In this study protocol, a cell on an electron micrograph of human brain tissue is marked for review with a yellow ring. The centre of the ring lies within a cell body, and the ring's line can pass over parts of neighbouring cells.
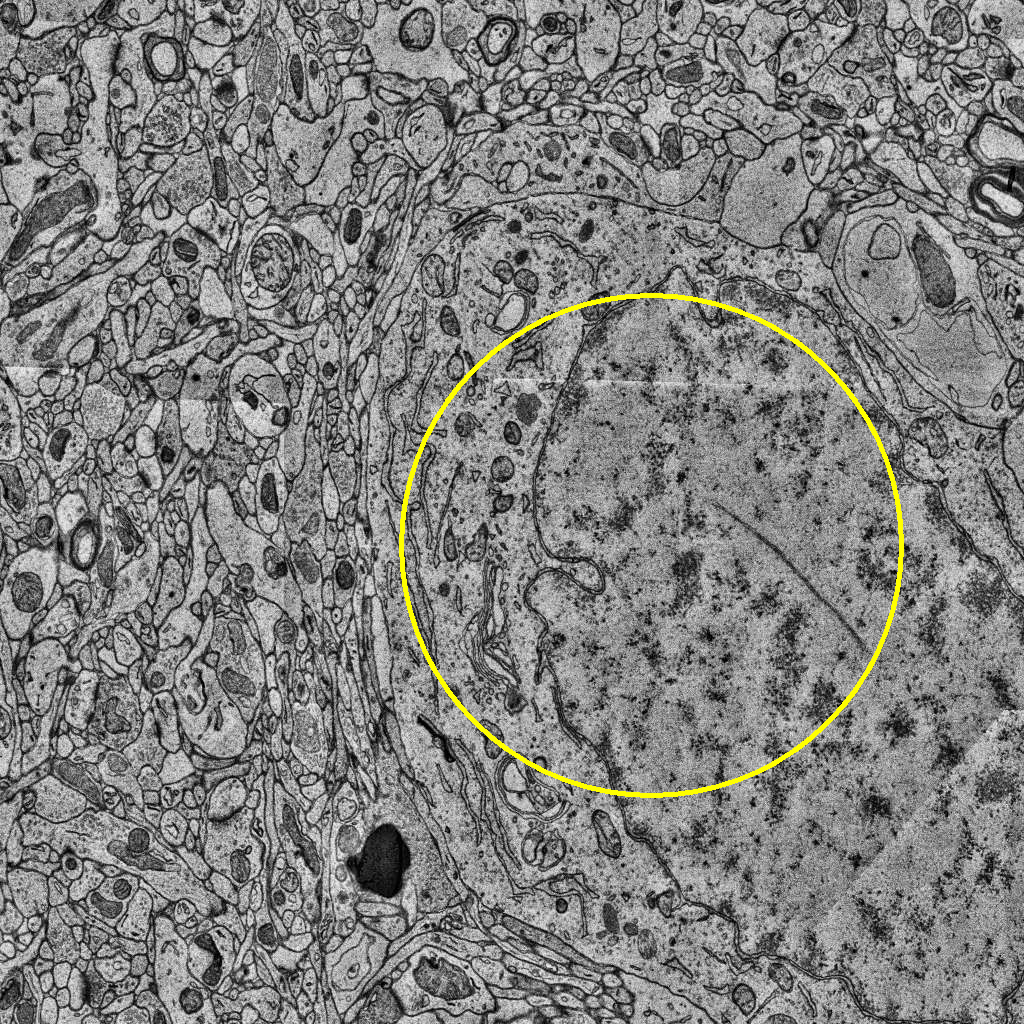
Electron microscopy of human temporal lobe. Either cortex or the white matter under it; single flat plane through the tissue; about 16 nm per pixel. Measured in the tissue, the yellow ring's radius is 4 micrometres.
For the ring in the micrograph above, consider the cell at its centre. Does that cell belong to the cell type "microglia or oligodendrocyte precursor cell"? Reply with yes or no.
no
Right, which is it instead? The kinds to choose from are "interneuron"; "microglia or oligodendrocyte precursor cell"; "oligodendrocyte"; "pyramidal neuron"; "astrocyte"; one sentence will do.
The cell marked by the ring is an interneuron.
